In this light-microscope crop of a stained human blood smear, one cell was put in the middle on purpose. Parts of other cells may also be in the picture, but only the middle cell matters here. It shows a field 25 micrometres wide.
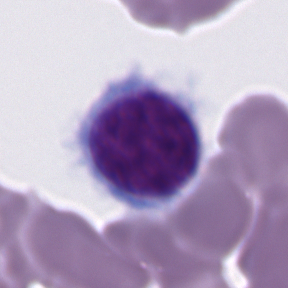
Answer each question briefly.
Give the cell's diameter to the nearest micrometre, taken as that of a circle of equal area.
11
